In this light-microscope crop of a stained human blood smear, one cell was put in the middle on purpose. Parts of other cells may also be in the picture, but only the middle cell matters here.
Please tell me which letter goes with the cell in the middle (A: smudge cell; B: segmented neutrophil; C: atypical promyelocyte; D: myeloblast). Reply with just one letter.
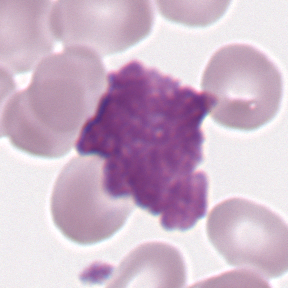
A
